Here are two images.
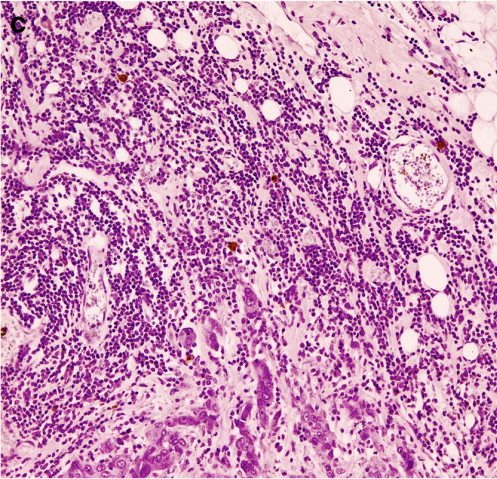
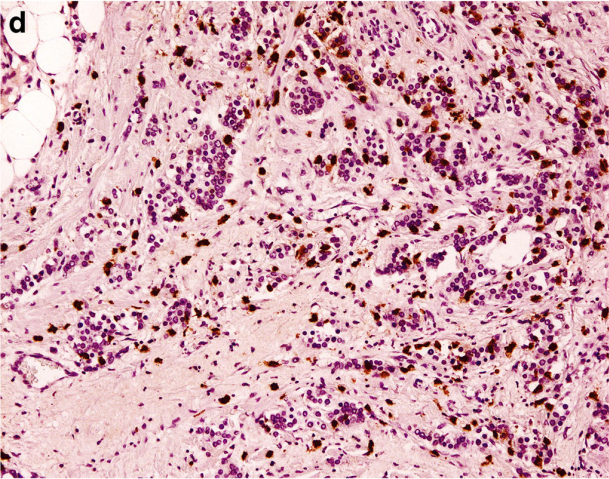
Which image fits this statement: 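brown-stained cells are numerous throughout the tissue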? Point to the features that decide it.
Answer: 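Second image: dozens of dark brown stained cells are scattered across the whole field. First image: only a few brown cells appear among dense small blue nuclei. That points to this answer: the second image.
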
